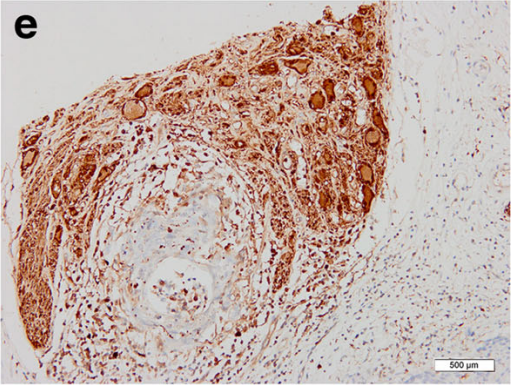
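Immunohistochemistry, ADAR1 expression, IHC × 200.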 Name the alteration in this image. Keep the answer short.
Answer: Perineural invasion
